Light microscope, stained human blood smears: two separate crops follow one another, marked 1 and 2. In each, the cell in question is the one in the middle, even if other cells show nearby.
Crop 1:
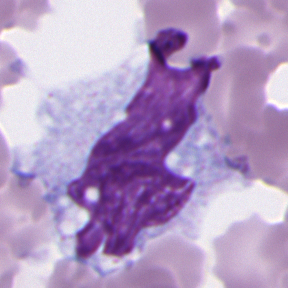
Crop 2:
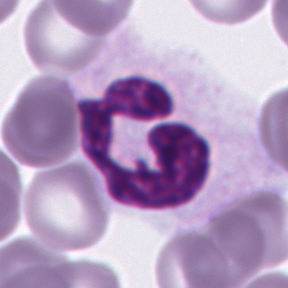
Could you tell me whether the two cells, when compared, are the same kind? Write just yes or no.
no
